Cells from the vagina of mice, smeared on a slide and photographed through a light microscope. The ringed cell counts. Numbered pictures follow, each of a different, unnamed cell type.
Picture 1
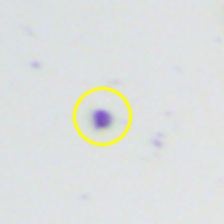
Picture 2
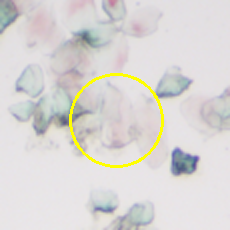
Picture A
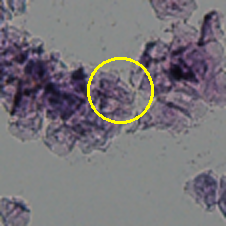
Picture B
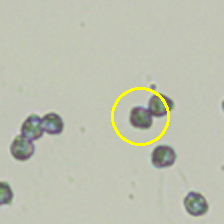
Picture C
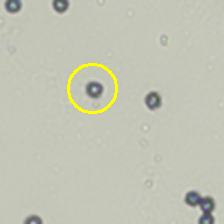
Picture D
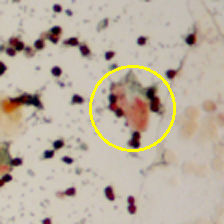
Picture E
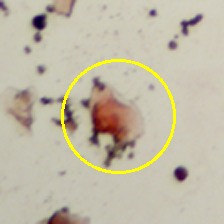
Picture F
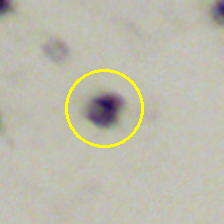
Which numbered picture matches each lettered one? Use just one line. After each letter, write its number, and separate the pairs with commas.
A 2, B 1, C 1, D 2, E 2, F 1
